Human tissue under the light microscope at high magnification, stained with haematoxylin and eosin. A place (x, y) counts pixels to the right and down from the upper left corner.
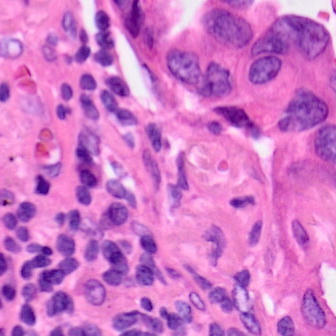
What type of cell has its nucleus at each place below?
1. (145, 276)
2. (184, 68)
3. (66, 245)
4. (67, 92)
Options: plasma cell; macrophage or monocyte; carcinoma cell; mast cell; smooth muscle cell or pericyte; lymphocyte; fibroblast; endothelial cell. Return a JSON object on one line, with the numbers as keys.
{"1": "lymphocyte", "2": "carcinoma cell", "3": "lymphocyte", "4": "lymphocyte"}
